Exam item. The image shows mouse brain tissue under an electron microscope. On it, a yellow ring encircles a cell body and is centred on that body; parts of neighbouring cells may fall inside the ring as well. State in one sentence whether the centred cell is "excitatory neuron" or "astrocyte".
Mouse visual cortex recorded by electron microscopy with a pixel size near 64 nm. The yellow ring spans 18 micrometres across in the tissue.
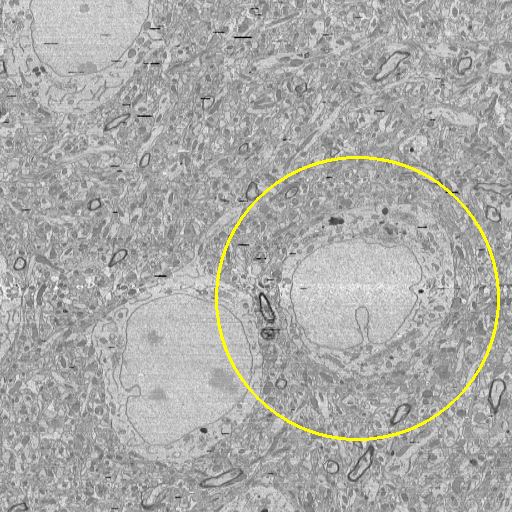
The cell body centred in the ring is an excitatory neuron.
